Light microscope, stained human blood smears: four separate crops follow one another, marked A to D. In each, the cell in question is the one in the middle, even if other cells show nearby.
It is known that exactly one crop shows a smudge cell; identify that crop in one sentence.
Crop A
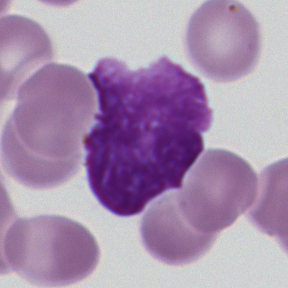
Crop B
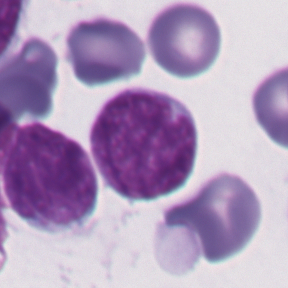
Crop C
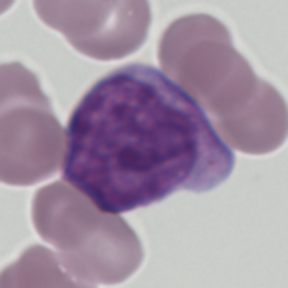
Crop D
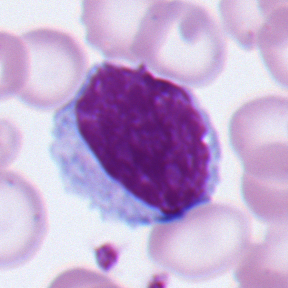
Crop A is the one to choose: it shows a smudge cell.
